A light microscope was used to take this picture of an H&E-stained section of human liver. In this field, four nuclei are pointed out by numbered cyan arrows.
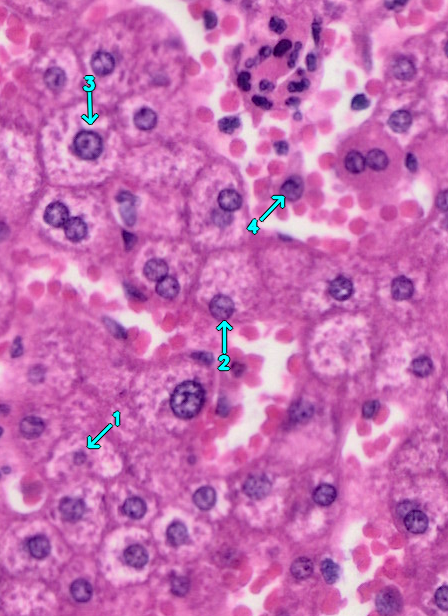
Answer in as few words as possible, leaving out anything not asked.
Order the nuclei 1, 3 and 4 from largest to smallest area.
3, 4, 1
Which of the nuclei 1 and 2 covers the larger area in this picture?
2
